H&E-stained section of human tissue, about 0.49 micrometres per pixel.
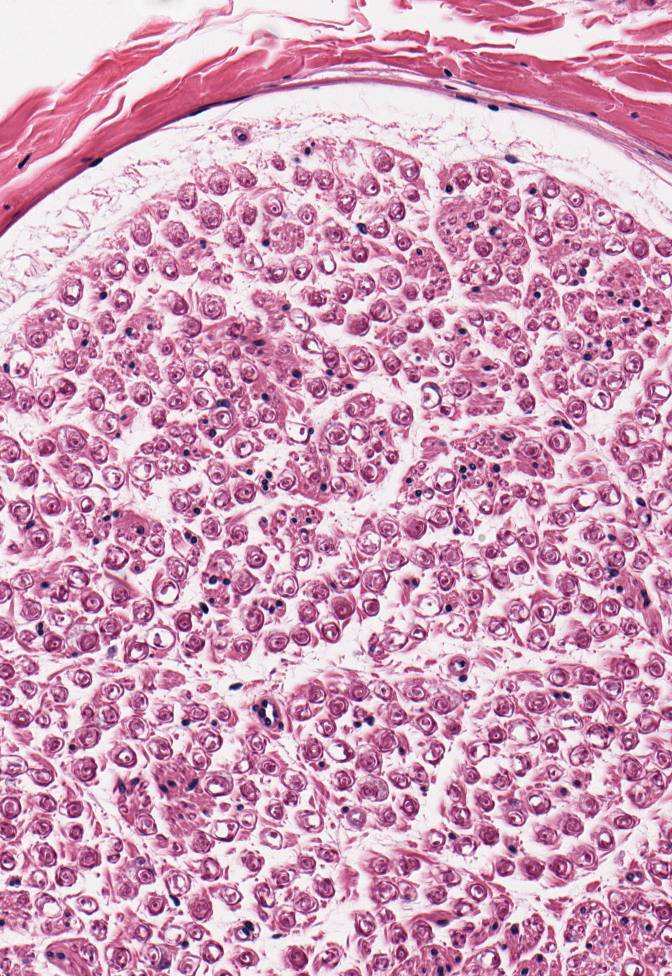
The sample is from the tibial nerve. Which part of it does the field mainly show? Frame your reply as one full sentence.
Depicted by this section is the tissue part nerve fascicle.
